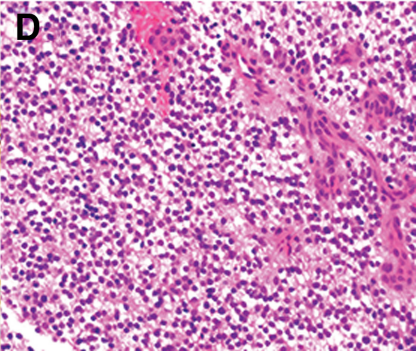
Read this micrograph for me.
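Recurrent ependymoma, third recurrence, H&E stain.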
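Tumor cells with uniform, round, dark purple nuclei fill the field in dense sheets. Elongated pink vessels run through the tissue, and around them lie paler fibrillary pink zones with fewer nuclei.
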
